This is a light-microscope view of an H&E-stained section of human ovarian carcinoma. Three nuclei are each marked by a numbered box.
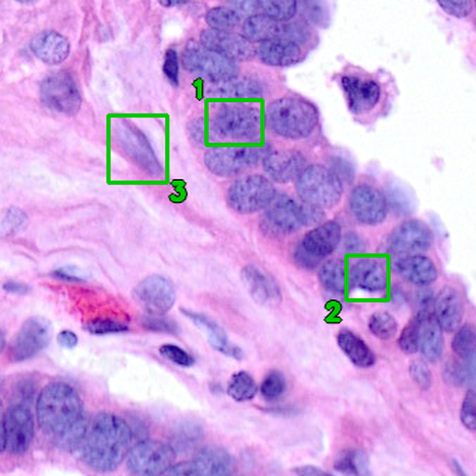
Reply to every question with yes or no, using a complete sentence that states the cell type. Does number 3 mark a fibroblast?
Yes, number 3 is assigned to a cell that is a fibroblast.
